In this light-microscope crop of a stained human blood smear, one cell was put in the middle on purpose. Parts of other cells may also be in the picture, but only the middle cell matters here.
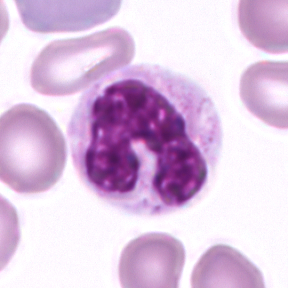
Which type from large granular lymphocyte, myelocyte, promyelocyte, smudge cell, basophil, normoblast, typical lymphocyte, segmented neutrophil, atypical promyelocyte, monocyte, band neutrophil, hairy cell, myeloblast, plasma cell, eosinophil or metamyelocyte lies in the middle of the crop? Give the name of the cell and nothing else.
band neutrophil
